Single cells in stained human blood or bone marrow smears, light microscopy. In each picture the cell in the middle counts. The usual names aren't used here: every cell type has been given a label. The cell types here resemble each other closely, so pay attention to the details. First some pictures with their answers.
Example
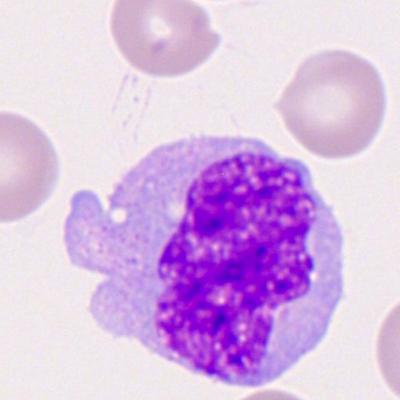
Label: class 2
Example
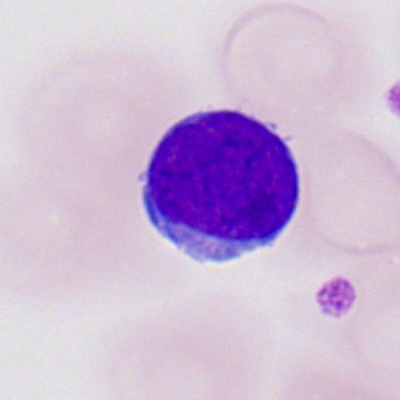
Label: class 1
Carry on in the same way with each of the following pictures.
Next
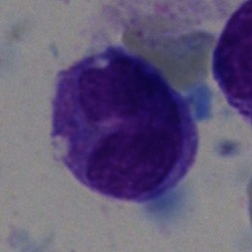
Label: class 2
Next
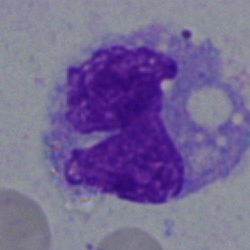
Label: class 2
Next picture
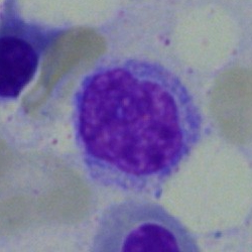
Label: class 2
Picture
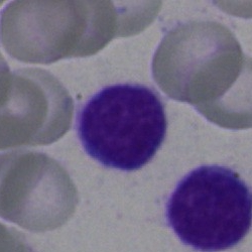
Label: class 1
